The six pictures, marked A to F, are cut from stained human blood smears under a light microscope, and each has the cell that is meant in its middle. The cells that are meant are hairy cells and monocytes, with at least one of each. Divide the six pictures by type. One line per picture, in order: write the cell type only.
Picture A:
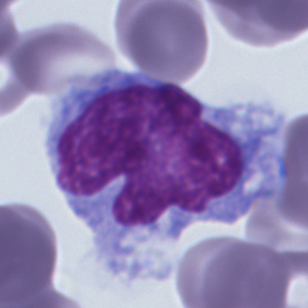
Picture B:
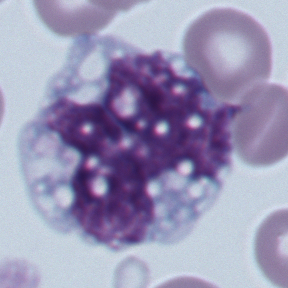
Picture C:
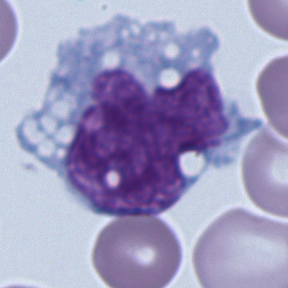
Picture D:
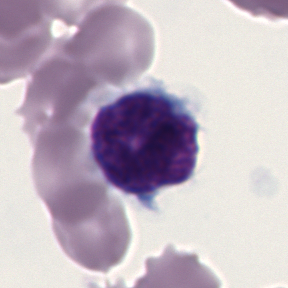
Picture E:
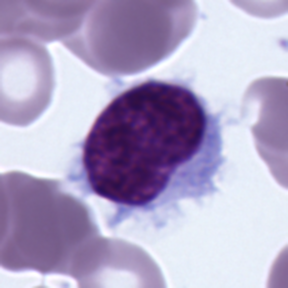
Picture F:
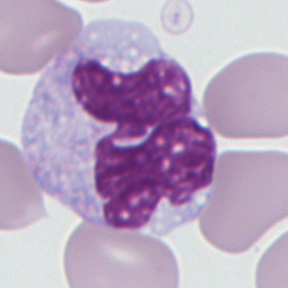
monocyte
monocyte
monocyte
hairy cell
hairy cell
monocyte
